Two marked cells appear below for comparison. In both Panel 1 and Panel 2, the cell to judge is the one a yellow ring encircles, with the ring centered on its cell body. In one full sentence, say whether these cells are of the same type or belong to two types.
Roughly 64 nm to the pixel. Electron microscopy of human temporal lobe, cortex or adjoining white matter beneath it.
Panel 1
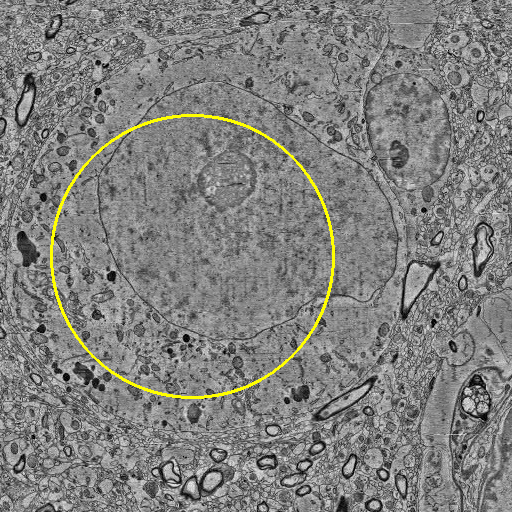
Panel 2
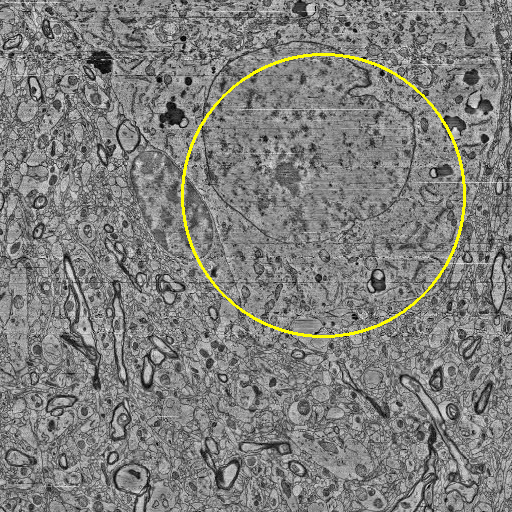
The cell centered in the Panel 1 ring and the one in Panel 2 are of the same type.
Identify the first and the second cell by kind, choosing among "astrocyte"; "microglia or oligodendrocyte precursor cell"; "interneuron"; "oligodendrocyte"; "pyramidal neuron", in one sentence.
The first and the second cell are each a pyramidal neuron.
